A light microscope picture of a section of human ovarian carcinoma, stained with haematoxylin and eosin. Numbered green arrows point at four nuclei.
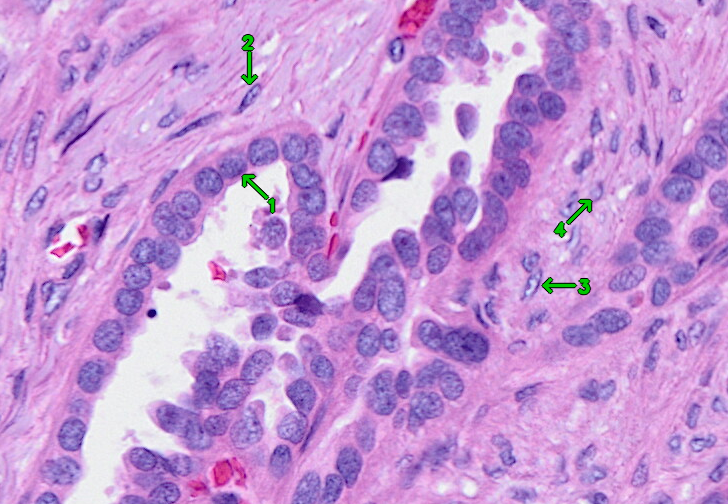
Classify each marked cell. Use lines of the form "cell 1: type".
cell 1: carcinoma cell
cell 2: fibroblast
cell 3: fibroblast
cell 4: fibroblast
